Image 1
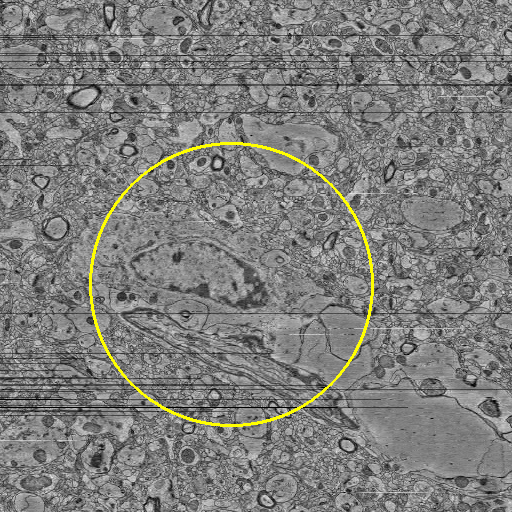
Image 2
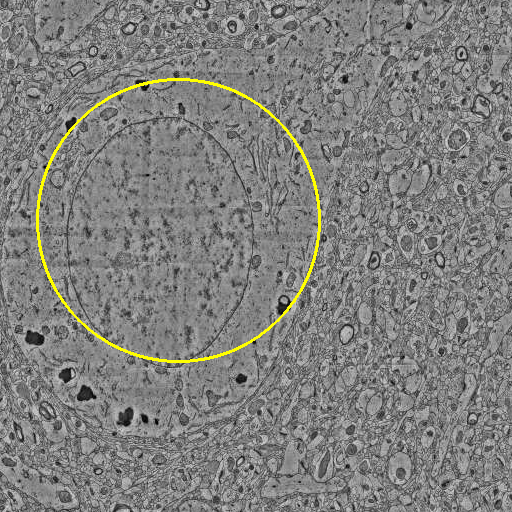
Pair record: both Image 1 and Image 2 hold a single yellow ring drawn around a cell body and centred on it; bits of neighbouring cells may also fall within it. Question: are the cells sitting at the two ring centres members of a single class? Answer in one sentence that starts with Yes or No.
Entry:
No, the ring-centre cells in Image 1 and Image 2 come from two classes.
